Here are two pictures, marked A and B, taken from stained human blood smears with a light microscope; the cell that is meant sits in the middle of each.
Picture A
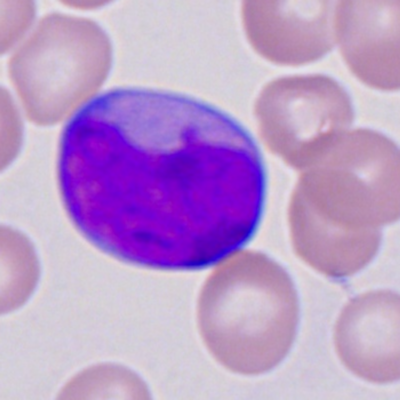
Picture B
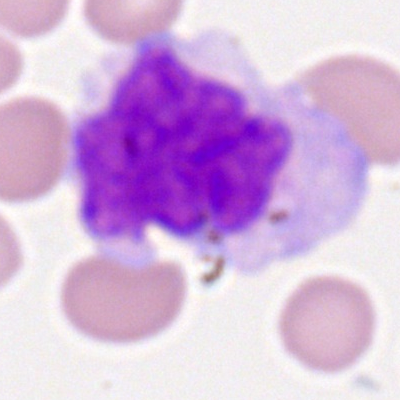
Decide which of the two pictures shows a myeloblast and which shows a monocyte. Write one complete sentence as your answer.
In picture A the cell is a myeloblast; in picture B, a monocyte.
